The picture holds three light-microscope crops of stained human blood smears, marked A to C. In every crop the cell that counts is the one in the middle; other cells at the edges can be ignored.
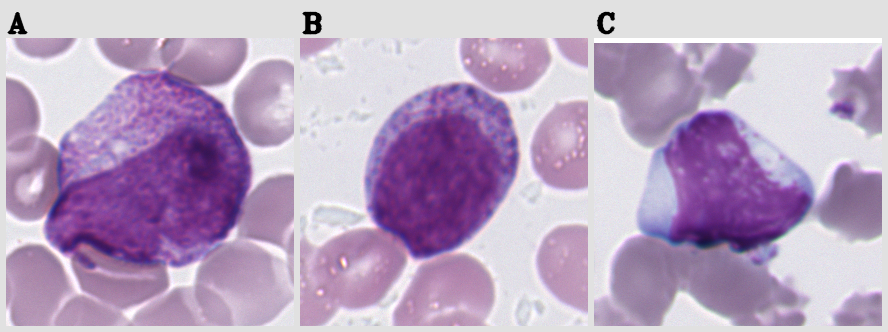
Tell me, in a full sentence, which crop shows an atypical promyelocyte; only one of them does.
Among the crops provided, an atypical promyelocyte occupies the center of crop A.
